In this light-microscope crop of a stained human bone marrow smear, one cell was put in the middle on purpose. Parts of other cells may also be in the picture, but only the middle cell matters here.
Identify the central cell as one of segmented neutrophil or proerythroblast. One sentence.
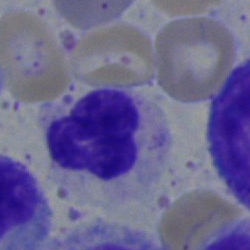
Centred in the crop is a segmented neutrophil.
